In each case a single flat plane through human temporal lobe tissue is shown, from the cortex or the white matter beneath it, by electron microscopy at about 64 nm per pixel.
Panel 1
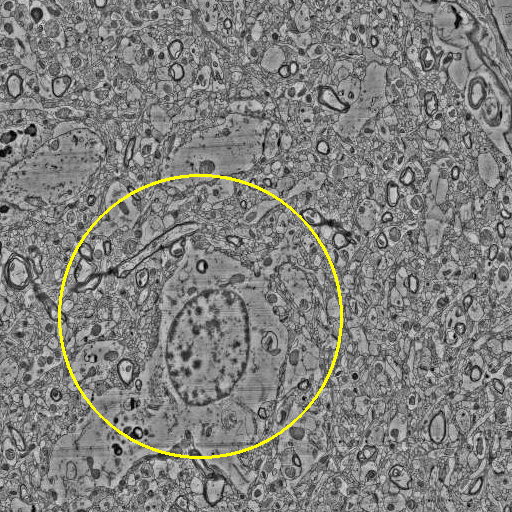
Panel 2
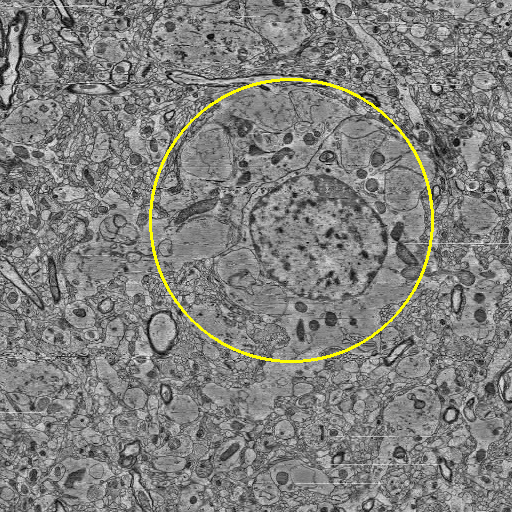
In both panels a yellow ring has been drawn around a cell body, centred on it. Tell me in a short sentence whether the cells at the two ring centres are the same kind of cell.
Yes, they are the same kind of cell.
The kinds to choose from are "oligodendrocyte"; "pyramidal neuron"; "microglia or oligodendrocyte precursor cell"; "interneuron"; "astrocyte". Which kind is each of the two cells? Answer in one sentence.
Each of the two pictures has an astrocyte at the ring centre.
